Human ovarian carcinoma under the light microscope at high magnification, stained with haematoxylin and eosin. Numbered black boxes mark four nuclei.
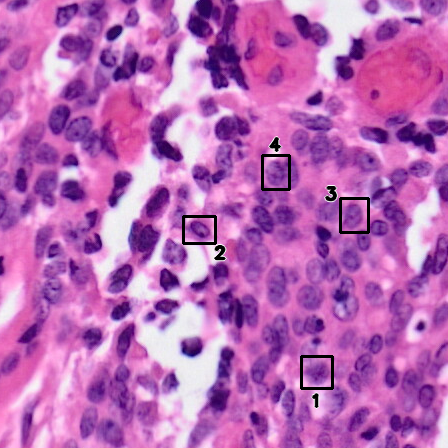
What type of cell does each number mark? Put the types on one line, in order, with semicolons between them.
carcinoma cell; macrophage or monocyte; carcinoma cell; carcinoma cell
